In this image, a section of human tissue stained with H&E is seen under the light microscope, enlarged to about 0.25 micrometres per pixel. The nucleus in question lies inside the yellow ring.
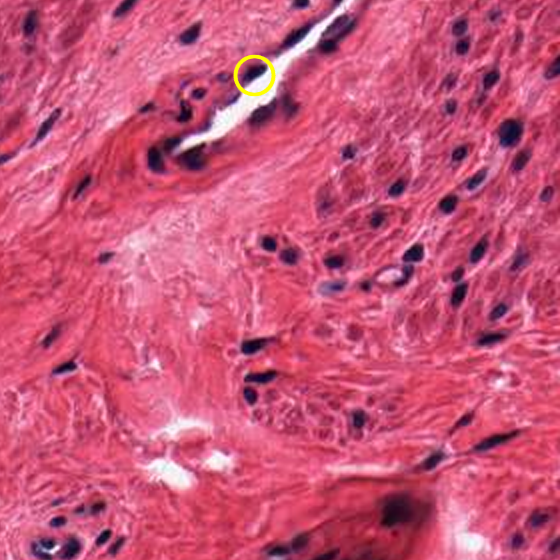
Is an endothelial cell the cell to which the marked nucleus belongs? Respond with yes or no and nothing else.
yes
